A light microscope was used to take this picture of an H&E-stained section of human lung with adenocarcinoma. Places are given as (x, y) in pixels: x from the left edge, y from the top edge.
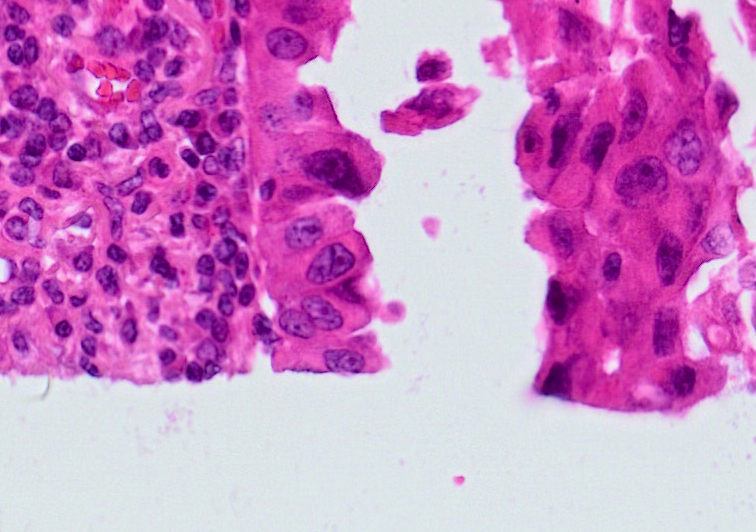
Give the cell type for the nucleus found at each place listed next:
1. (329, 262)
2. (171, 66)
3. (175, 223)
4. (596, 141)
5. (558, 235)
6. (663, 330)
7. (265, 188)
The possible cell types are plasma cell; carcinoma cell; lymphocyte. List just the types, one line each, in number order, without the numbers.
carcinoma cell
lymphocyte
lymphocyte
carcinoma cell
carcinoma cell
carcinoma cell
lymphocyte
